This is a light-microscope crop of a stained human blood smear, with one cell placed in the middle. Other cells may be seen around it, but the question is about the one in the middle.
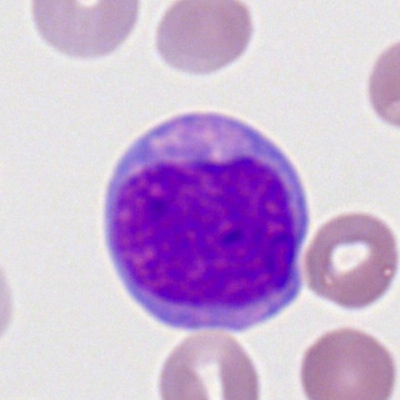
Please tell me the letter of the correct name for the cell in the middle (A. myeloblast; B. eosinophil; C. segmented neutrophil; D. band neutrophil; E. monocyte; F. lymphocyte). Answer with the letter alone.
A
